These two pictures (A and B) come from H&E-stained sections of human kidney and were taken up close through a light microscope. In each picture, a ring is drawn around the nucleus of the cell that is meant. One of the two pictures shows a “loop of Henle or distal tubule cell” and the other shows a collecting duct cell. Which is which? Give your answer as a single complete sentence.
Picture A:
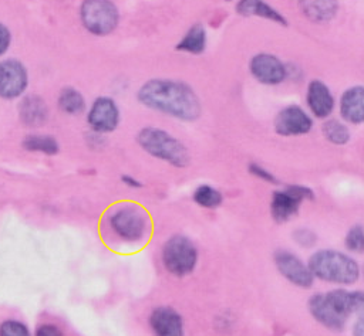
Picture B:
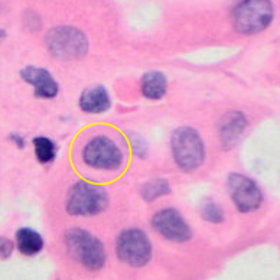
Picture B shows a collecting duct cell, while picture A shows a “loop of Henle or distal tubule cell”.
